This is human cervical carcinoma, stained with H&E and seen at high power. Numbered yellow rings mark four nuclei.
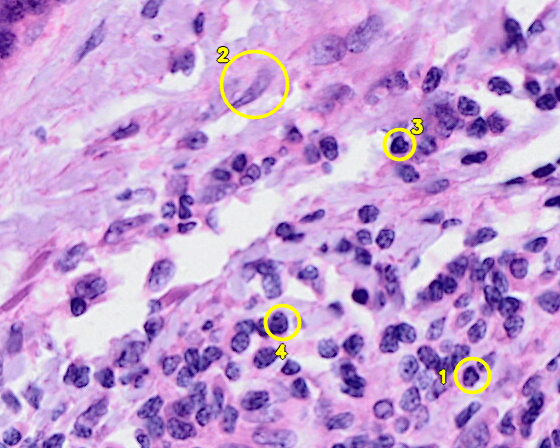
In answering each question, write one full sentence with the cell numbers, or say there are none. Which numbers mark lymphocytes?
The cells tagged 1, 3 and 4 are lymphocytes in this tissue section.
